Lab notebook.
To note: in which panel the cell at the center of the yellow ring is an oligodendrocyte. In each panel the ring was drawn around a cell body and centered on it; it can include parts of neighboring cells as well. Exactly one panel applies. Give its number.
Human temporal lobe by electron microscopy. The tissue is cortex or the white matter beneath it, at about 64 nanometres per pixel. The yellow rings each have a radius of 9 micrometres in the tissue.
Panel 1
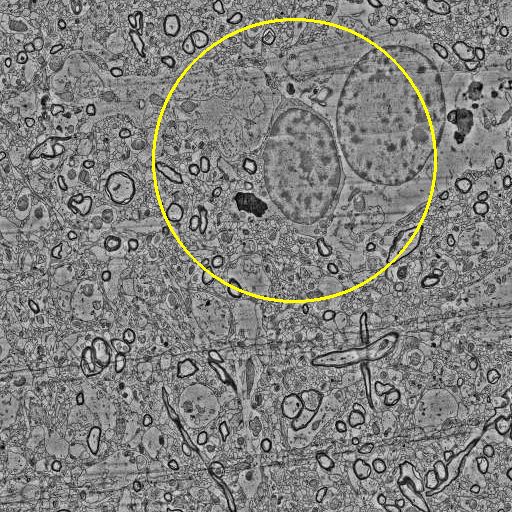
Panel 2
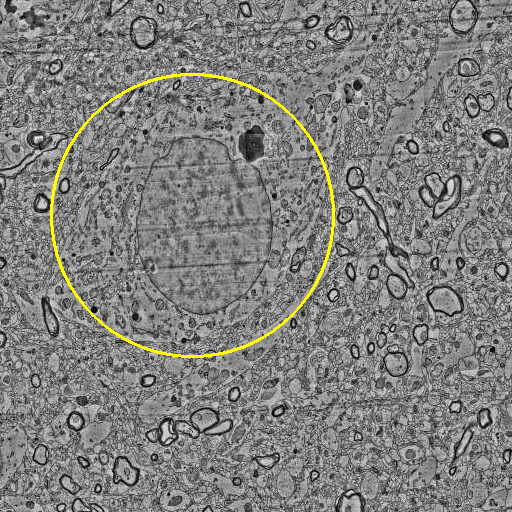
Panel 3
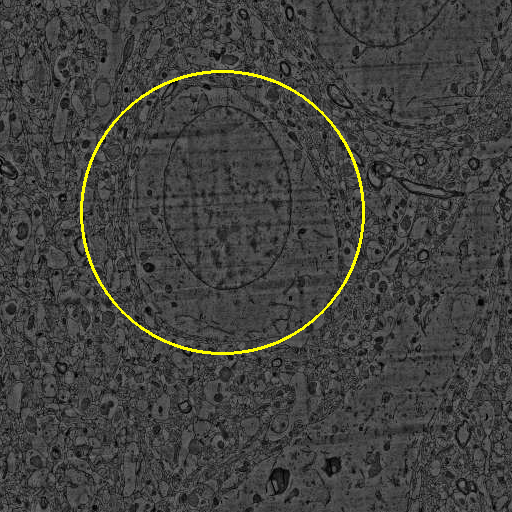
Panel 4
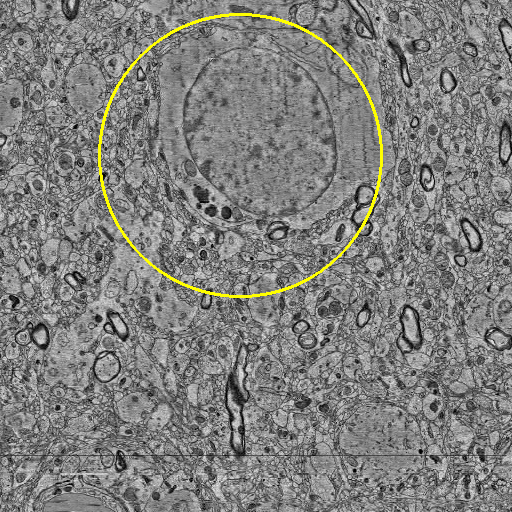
1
